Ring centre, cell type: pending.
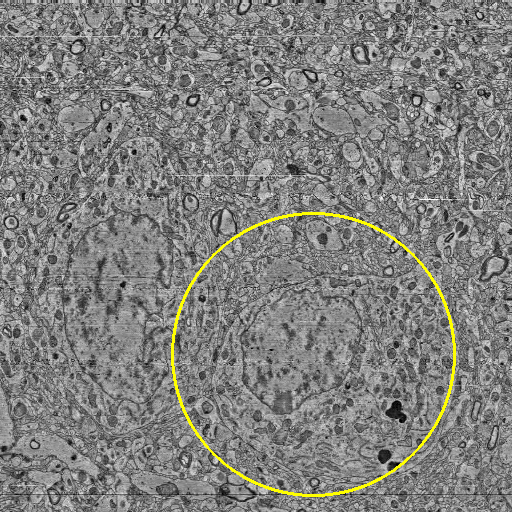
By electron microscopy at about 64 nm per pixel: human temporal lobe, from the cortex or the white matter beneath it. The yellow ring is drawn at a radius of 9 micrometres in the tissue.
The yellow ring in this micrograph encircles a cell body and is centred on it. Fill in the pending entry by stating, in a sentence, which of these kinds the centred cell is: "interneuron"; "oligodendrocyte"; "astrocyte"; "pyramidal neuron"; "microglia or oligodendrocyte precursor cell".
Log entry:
The centred cell is recorded as an interneuron.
